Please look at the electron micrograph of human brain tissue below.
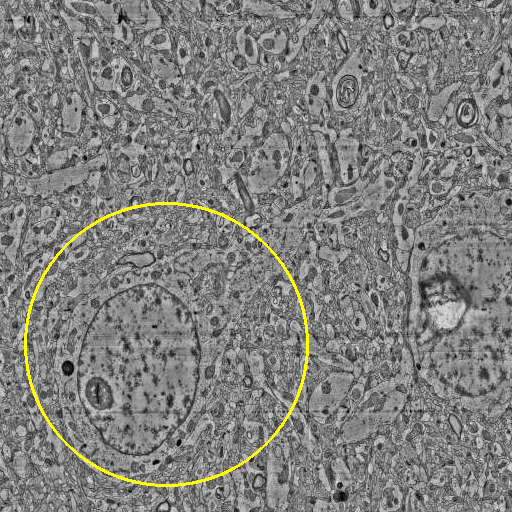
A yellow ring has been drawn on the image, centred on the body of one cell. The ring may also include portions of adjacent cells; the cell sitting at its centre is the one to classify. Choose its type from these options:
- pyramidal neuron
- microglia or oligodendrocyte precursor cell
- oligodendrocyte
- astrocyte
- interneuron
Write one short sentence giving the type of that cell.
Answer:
The cell in the middle of the ring is a pyramidal neuron.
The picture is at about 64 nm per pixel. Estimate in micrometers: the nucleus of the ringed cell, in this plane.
In this plane, approximately 11 by 8 micrometers.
